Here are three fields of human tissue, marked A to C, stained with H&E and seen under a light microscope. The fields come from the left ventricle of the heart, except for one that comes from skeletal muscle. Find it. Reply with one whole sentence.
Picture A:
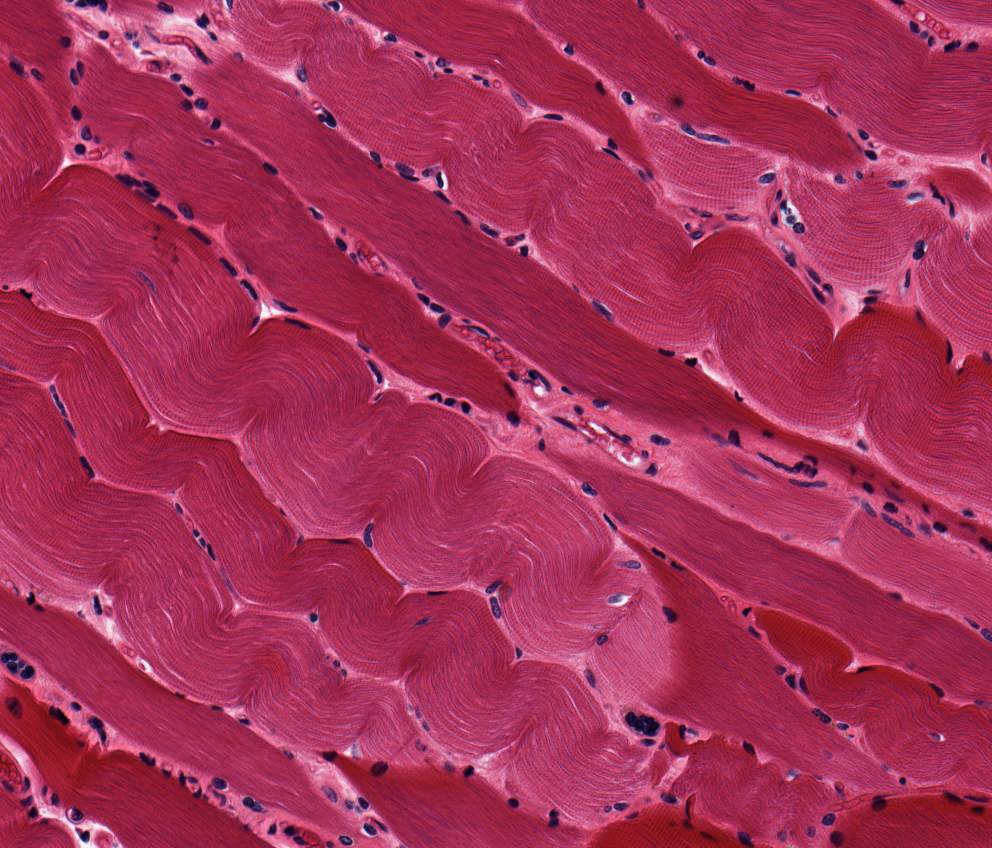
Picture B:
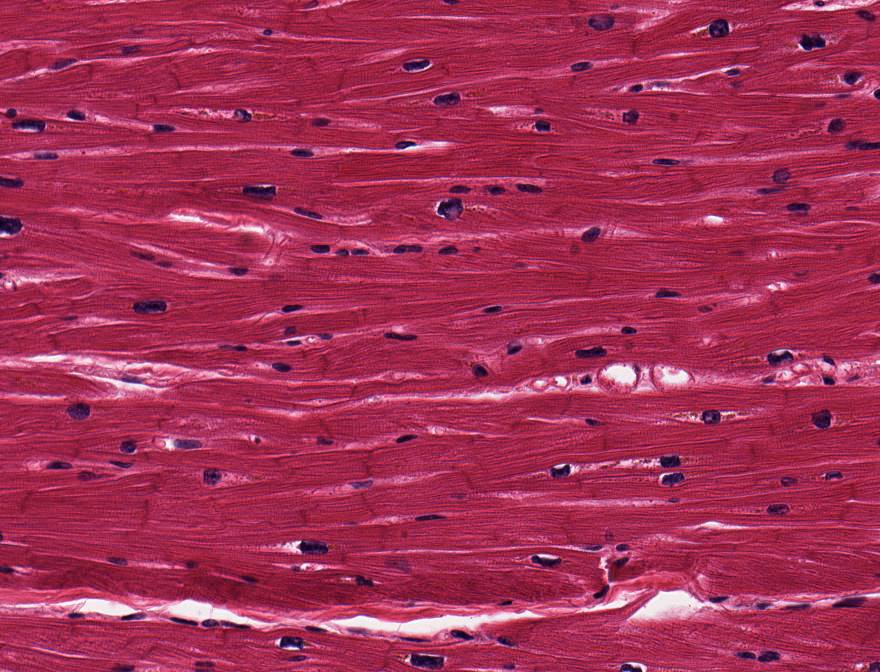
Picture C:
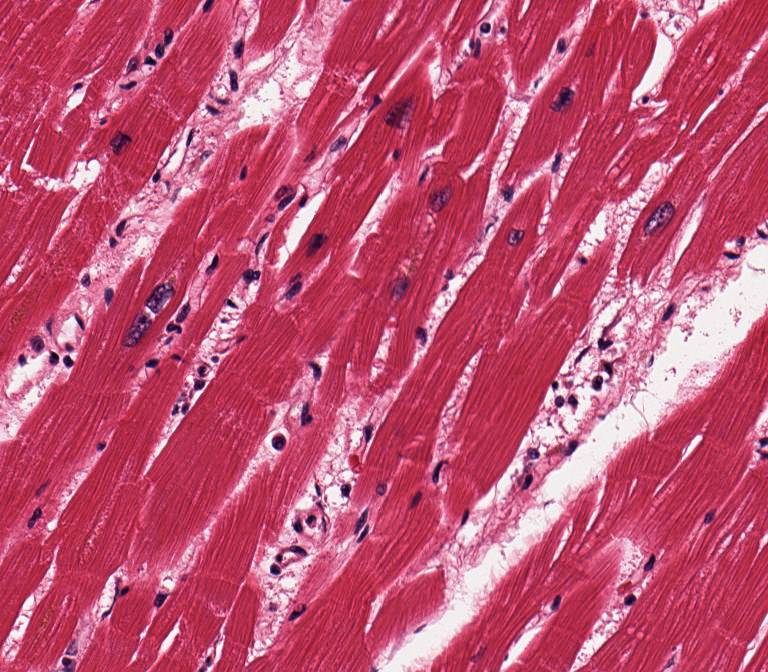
It is picture A that comes from skeletal muscle.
